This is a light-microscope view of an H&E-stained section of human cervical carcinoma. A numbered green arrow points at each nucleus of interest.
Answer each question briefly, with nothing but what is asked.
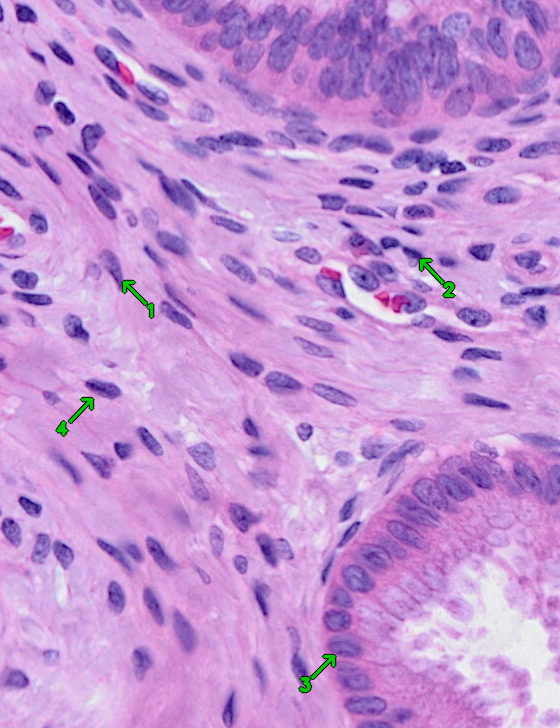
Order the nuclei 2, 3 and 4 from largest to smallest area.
3, 4, 2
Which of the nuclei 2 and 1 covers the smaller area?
2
